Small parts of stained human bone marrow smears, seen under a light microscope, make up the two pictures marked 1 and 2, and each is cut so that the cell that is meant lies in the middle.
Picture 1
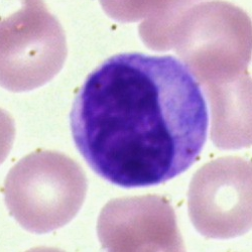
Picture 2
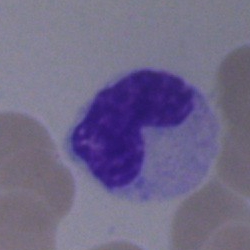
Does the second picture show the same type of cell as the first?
yes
